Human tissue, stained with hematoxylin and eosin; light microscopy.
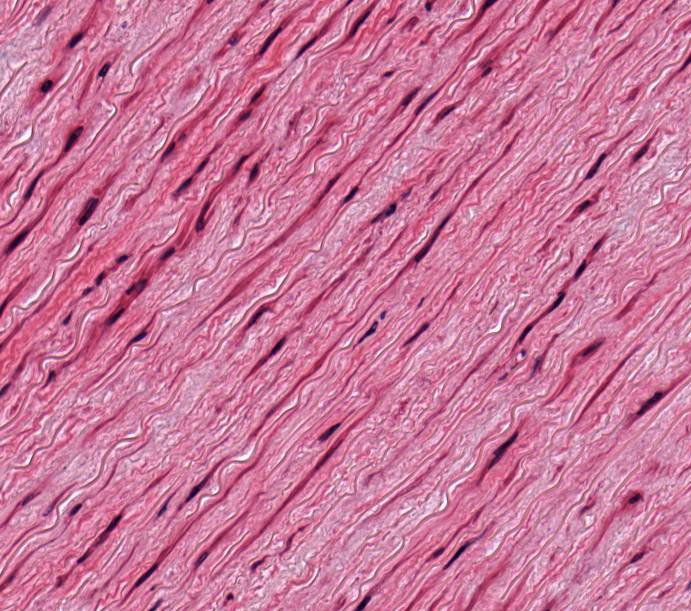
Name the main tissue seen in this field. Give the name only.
tunica media of an artery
